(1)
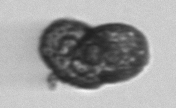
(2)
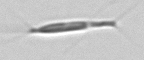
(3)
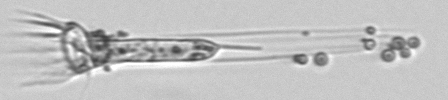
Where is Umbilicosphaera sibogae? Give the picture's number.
1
